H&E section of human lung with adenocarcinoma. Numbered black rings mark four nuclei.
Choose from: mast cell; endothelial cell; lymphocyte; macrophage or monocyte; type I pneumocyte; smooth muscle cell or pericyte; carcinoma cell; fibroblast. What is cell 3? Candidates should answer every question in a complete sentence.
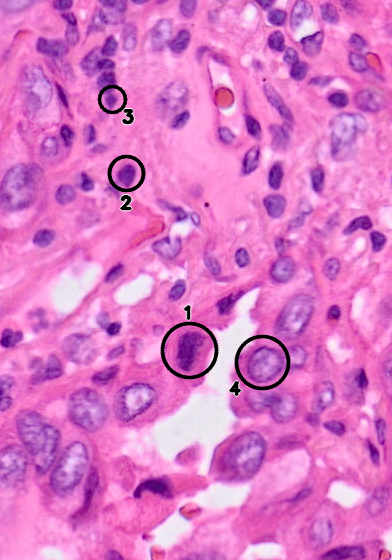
Corresponding to a lymphocyte is the cell labelled 3.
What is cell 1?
The correct label for cell 1 is a carcinoma cell.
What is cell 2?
The cell identified by the number 2 is a lymphocyte.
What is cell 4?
The one numbered 4 among the marked cells is a carcinoma cell.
